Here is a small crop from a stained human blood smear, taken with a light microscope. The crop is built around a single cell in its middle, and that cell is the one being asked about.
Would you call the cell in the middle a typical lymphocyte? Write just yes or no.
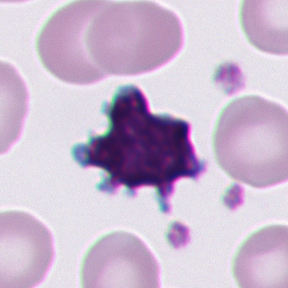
yes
